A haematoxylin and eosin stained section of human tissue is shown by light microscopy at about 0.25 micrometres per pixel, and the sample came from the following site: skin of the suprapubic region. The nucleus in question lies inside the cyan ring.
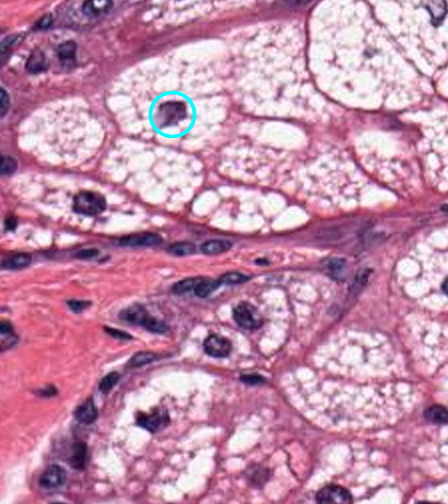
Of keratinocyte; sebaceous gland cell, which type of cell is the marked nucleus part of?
sebaceous gland cell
